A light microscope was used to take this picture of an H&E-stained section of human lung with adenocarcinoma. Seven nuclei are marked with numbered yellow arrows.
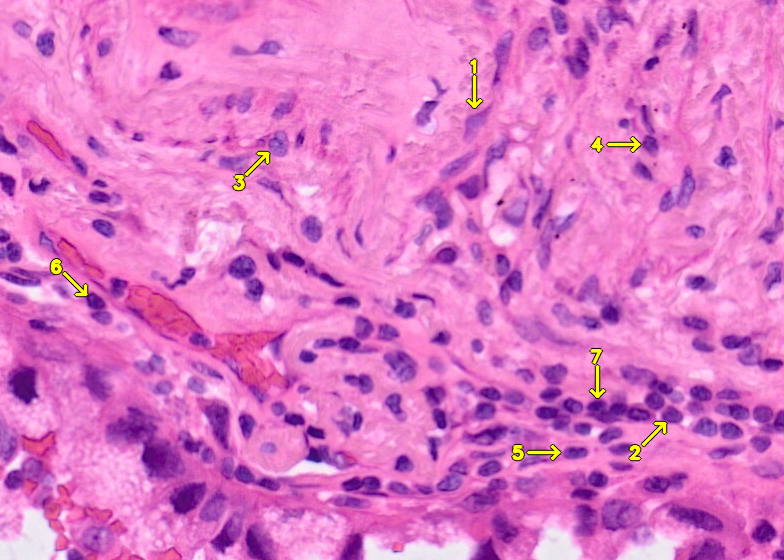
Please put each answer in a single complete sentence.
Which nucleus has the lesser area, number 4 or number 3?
Nucleus 4 covers less area, with nucleus 3 about 1.5 times as large.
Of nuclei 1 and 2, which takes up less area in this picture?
With nucleus 1 about 2 times its size, nucleus 2 is the smaller of the two.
